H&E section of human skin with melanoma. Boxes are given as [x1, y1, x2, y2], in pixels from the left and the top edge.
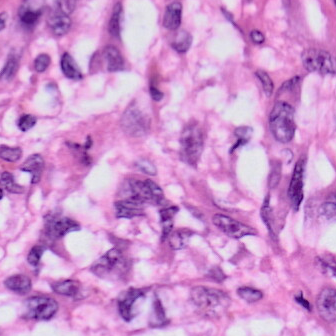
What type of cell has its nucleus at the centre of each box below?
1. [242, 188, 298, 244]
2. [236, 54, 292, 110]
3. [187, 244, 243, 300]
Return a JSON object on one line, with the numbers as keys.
{"1": "melanoma cell", "2": "macrophage or monocyte", "3": "melanoma cell"}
